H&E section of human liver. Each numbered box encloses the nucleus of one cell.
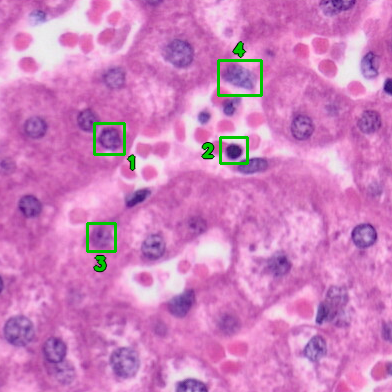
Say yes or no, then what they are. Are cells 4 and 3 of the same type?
No, classify cell 4 as an endothelial cell and cell 3 as a hepatocyte.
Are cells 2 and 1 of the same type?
No, not so; cell 2 is a lymphocyte and cell 1 is a hepatocyte.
